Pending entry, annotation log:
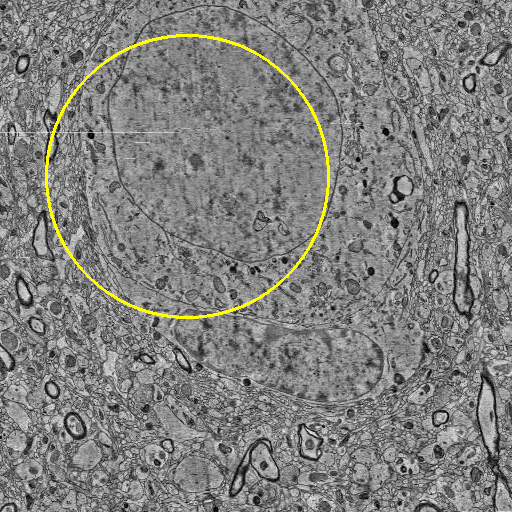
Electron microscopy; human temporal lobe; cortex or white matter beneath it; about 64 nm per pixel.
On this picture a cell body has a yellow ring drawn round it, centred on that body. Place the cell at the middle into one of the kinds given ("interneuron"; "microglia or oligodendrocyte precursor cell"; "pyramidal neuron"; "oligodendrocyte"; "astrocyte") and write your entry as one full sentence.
The cell body at the middle of the yellow ring belongs to a pyramidal neuron.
